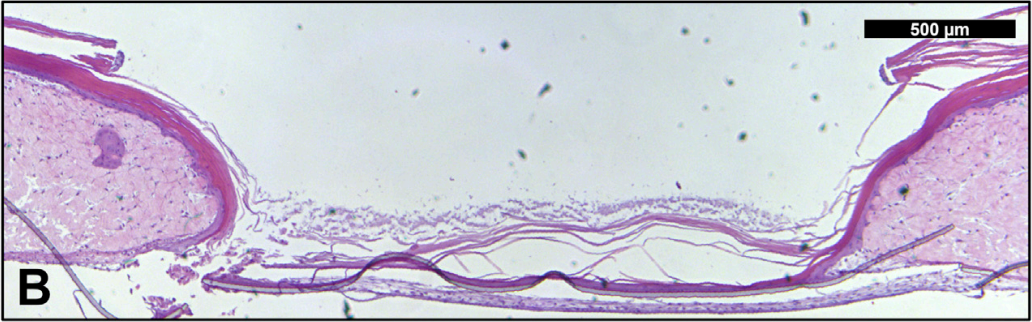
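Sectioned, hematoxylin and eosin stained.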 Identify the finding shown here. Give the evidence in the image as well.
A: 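The pink dermal tissue is interrupted by a wide central gap. The gap spans the full depth of the tissue between two rounded tissue edges. Only thin strands and loose material lie in the gap. On this evidence: full-thickness wound.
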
